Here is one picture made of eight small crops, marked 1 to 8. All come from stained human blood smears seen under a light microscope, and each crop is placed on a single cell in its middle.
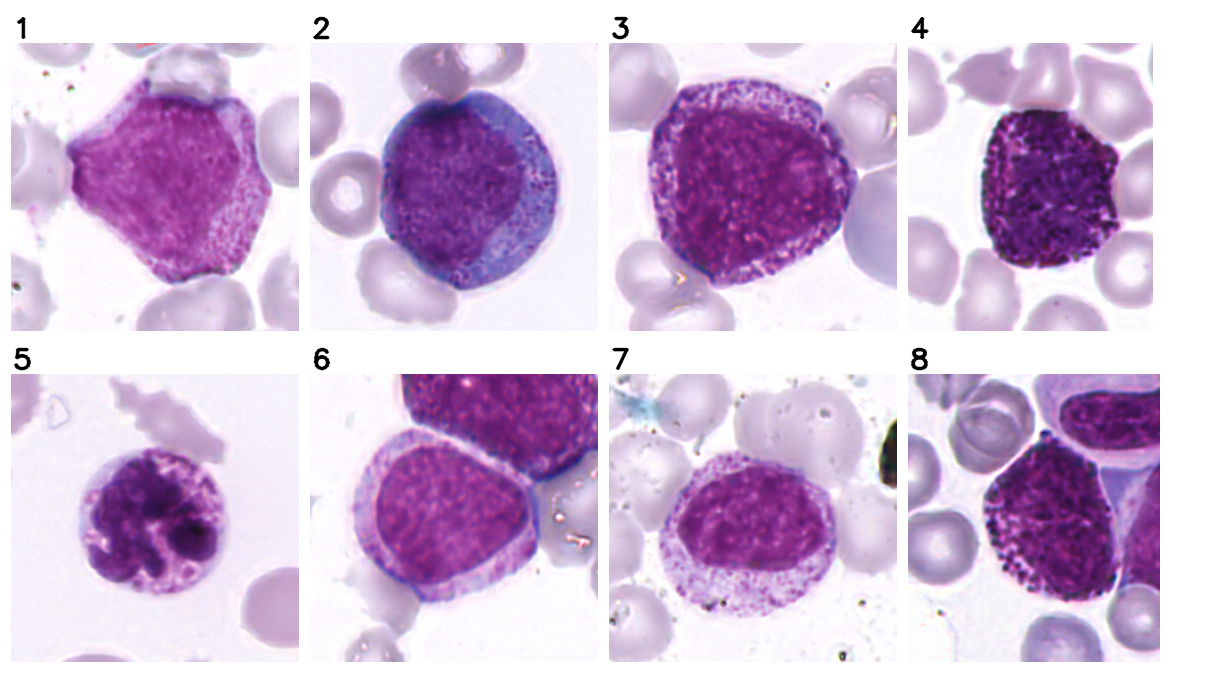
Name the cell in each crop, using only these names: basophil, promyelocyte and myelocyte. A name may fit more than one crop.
1: myelocyte
2: promyelocyte
3: promyelocyte
4: basophil
5: basophil
6: promyelocyte
7: myelocyte
8: basophil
